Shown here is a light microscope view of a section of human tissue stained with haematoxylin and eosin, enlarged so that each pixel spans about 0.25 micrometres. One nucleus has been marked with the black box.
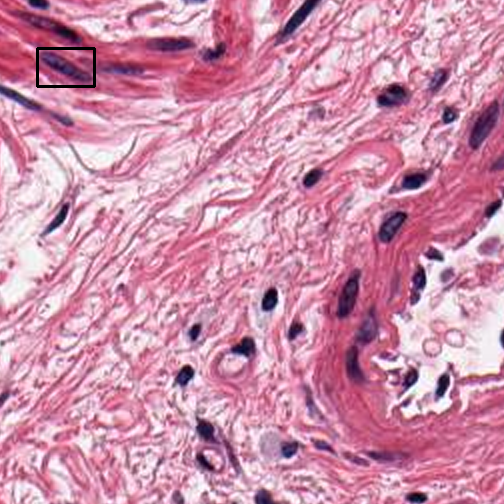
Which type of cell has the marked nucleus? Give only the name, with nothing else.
smooth muscle cell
